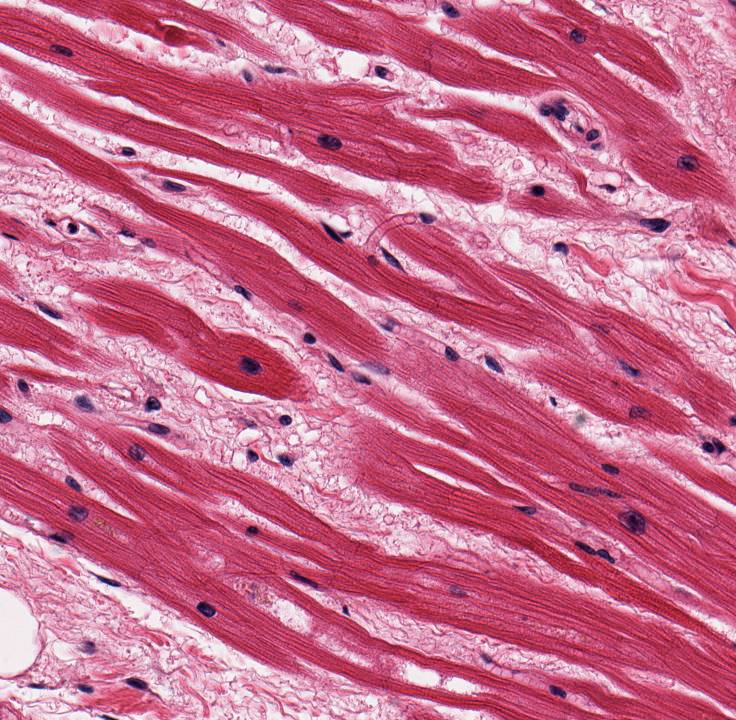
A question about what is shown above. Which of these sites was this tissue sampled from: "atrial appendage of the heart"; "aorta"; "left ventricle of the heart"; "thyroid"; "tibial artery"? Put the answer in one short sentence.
The site this tissue was sampled from is the atrial appendage of the heart.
